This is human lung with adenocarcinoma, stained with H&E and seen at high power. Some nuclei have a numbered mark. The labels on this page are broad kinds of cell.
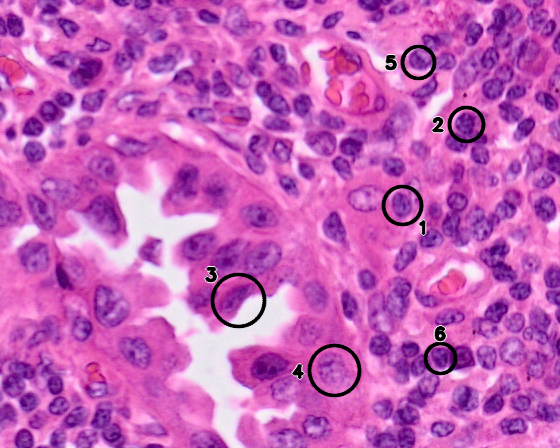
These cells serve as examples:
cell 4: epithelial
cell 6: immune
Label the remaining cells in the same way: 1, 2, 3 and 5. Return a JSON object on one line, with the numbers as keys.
{"1": "immune", "2": "immune", "3": "epithelial", "5": "immune"}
